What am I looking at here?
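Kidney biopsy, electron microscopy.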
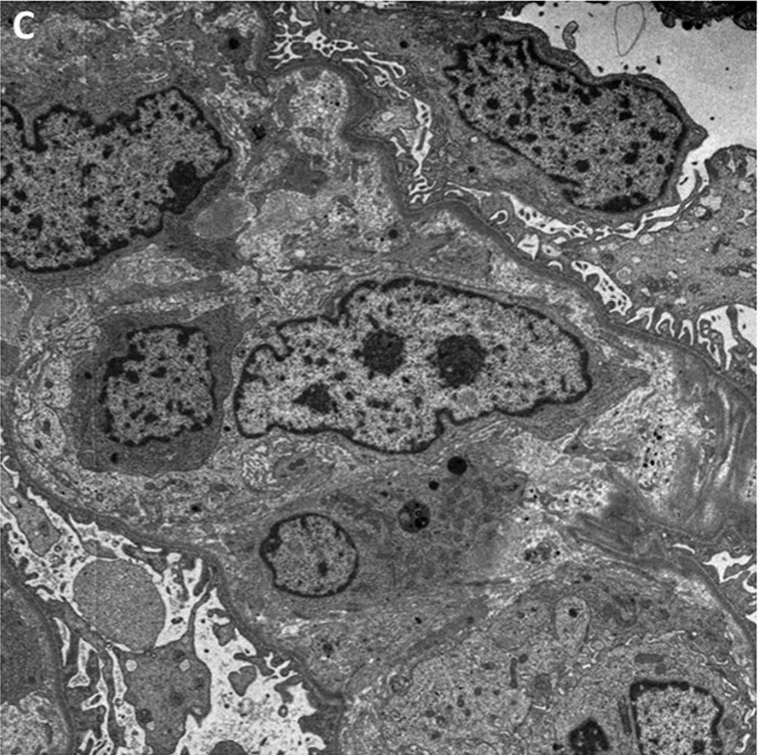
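This electron micrograph shows part of a glomerular capillary tuft, with several cells bearing large irregular nuclei with clumped dark chromatin and prominent nucleoli. The central region is taken up by cells and a loose, pale, fluffy matrix consistent with swollen mesangial and subendothelial areas, and no dark dense deposits are seen. On the outer surface the epithelial cells send numerous fine finger-like projections into the clear urinary space, and in places their cytoplasm lies as a continuous sheet rather than distinct foot processes.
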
